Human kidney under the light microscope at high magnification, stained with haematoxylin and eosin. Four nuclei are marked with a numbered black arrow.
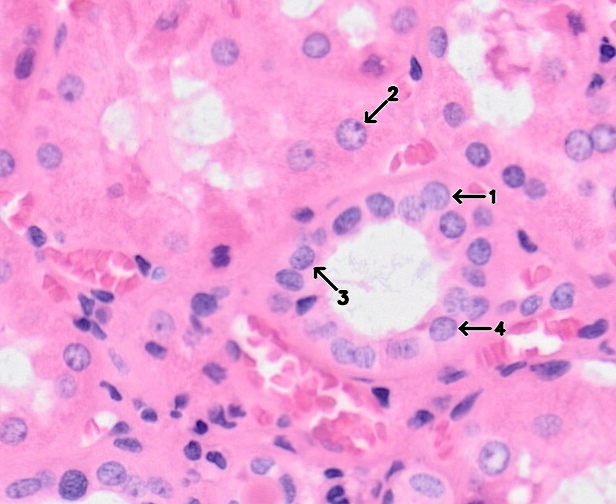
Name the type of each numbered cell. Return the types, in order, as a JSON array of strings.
["collecting duct cell", "proximal tubule cell", "collecting duct cell", "collecting duct cell"]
